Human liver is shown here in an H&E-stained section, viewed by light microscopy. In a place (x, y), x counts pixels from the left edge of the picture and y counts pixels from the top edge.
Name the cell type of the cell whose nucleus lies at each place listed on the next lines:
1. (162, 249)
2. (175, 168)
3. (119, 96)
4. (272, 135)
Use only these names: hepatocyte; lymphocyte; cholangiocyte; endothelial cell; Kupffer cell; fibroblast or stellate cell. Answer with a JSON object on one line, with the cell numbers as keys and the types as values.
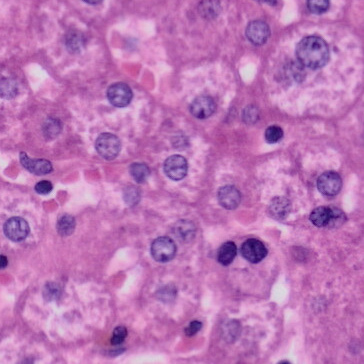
{"1": "hepatocyte", "2": "hepatocyte", "3": "hepatocyte", "4": "lymphocyte"}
